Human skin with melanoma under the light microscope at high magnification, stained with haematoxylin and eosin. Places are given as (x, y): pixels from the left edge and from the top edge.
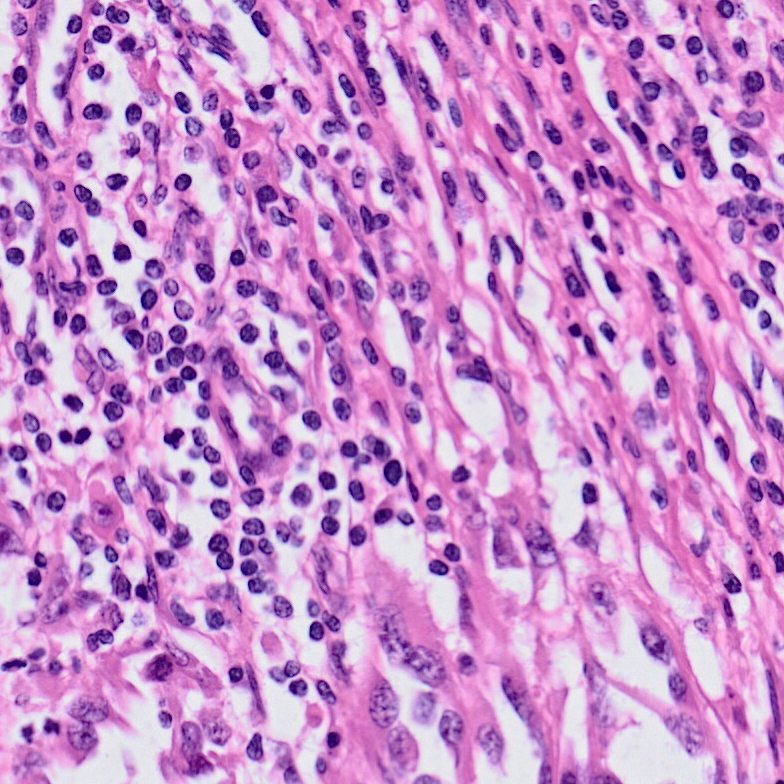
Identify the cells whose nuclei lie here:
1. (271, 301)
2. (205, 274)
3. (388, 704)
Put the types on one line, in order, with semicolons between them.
lymphocyte; lymphocyte; melanoma cell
